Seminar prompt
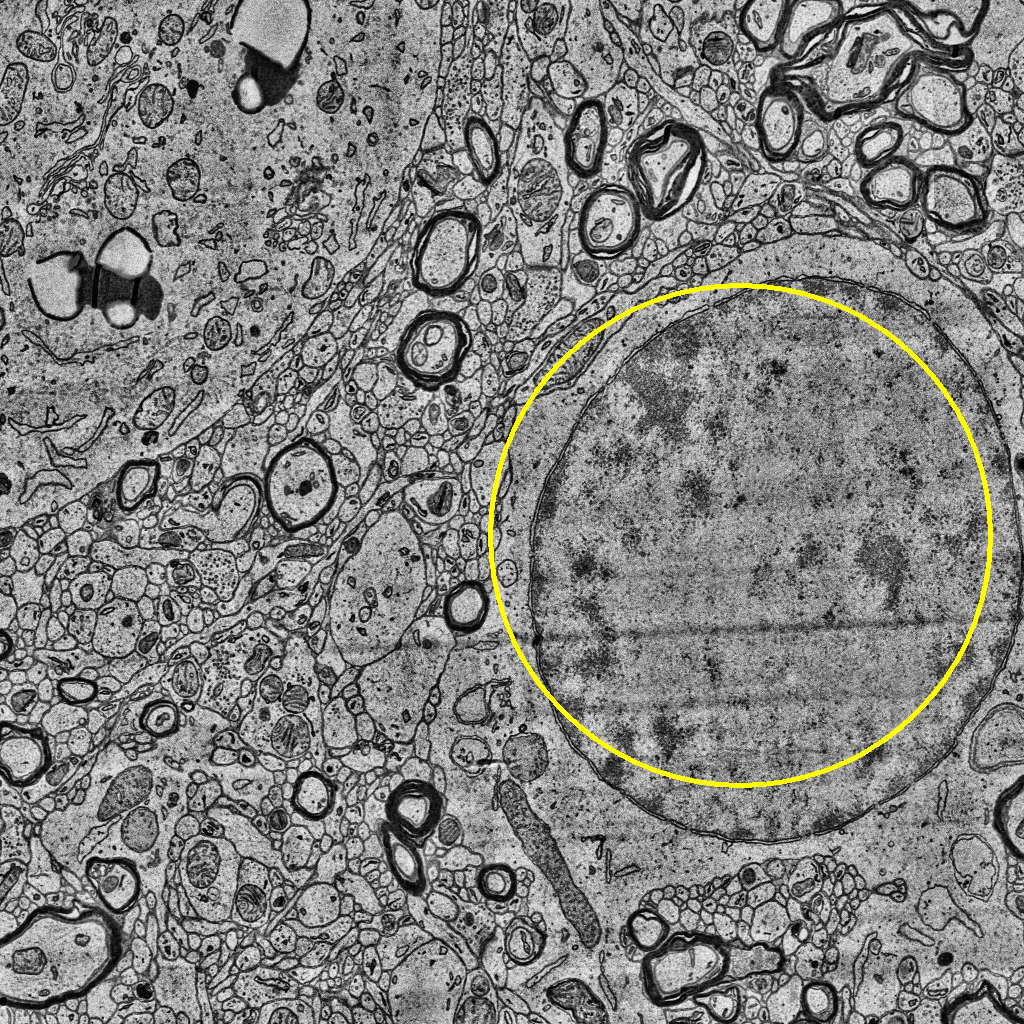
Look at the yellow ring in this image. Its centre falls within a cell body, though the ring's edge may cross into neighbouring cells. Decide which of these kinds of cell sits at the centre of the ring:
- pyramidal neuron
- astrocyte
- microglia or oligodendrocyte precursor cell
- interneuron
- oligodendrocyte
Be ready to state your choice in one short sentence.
The kind of cell at the ring's centre is an astrocyte.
